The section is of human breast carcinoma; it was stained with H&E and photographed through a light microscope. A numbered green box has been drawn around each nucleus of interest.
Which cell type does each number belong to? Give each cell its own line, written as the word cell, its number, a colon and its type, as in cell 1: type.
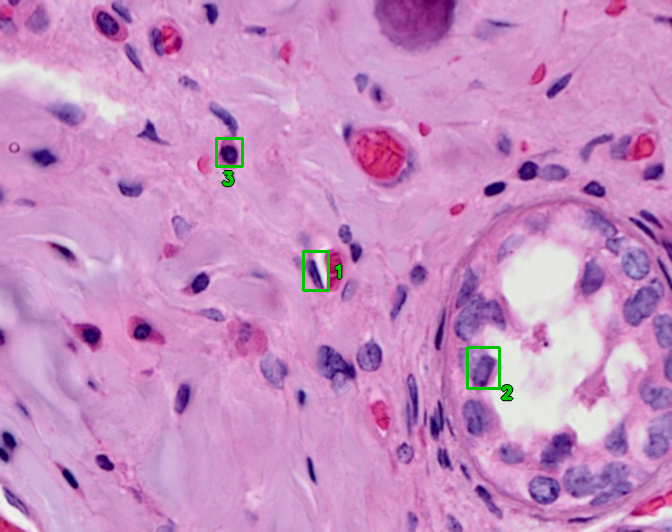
cell 1: endothelial cell
cell 2: carcinoma cell
cell 3: mast cell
